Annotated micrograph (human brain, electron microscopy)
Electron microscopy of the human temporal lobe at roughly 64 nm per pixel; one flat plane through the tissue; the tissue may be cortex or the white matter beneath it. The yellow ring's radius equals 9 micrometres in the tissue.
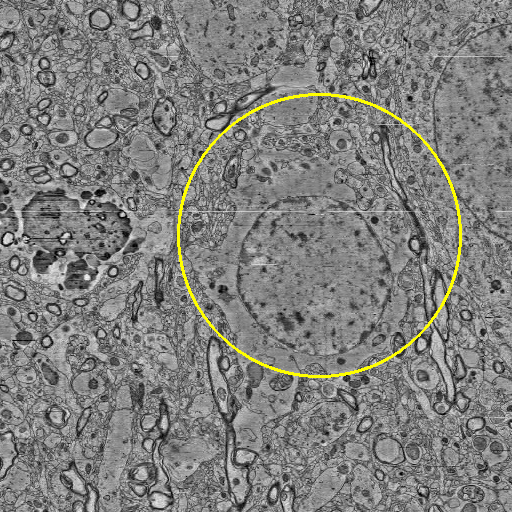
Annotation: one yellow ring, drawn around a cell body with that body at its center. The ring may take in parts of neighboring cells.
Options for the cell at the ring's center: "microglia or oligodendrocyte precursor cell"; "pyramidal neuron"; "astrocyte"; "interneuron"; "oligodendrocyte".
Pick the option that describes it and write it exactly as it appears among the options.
astrocyte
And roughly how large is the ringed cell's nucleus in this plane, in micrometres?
The nucleus measures about 10 micrometers across in this plane.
